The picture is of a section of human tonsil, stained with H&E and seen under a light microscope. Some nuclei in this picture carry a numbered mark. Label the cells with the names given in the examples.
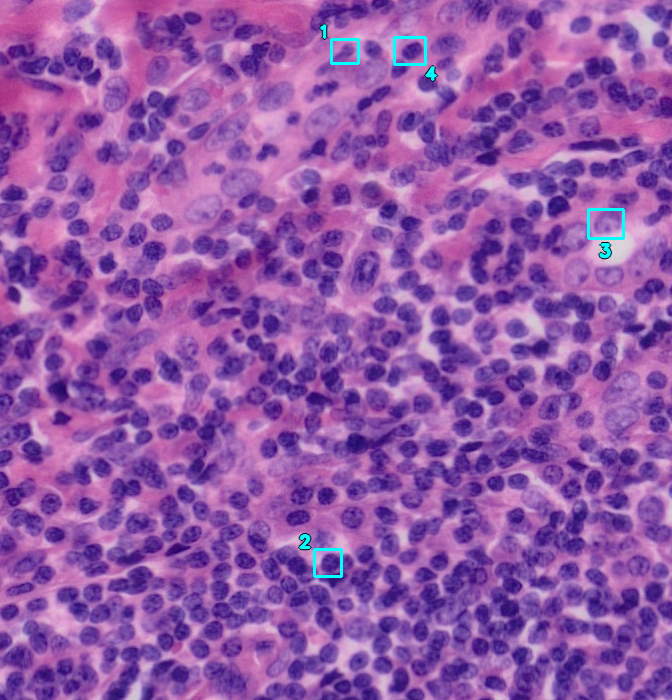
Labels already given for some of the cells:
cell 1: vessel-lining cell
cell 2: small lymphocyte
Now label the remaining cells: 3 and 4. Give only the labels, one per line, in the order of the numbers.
vessel-lining cell
vessel-lining cell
